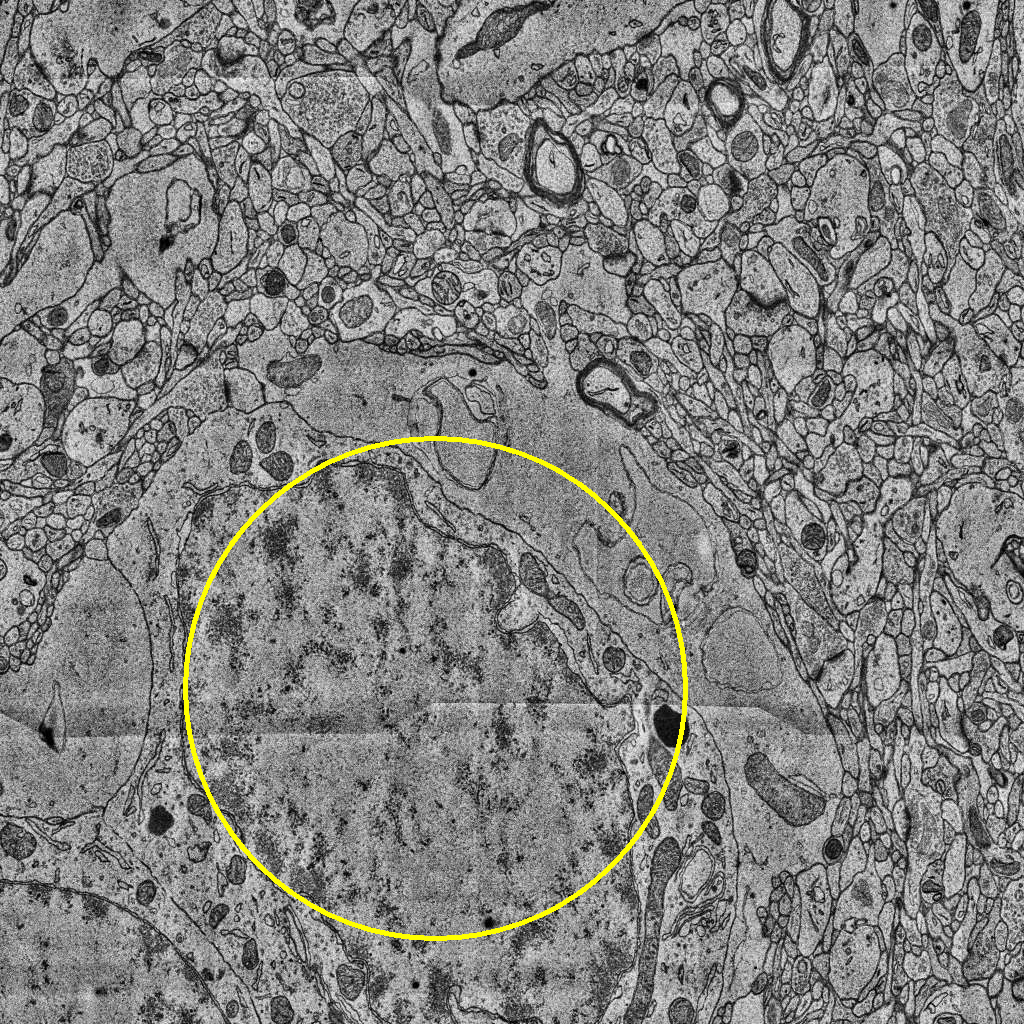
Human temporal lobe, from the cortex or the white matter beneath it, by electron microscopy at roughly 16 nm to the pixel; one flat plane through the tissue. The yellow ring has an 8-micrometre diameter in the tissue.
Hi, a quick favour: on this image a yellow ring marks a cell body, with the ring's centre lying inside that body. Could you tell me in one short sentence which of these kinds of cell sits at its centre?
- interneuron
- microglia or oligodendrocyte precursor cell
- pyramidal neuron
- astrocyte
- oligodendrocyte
The ring's centre lies in an interneuron.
